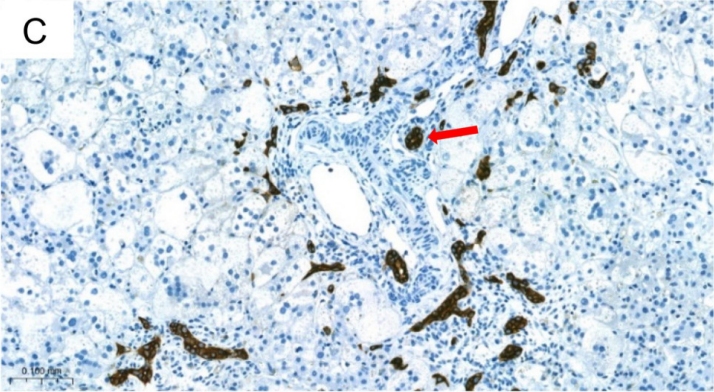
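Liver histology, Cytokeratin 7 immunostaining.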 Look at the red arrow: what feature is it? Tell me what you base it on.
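The arrow points to a small round brown-stained tubular profile. It lies in the connective tissue around a vessel. Other brown-stained cords and tubules surround the same area. On this evidence: regular bile ducts.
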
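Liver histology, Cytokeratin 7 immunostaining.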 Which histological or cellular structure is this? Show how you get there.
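Portal field. A vessel with a thin wall sits within a band of connective tissue in the centre. Brown-stained duct-like structures lie around this connective tissue. Pale hepatocytes surround the area.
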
